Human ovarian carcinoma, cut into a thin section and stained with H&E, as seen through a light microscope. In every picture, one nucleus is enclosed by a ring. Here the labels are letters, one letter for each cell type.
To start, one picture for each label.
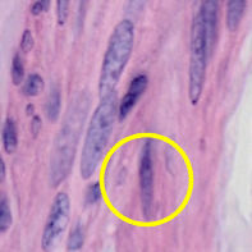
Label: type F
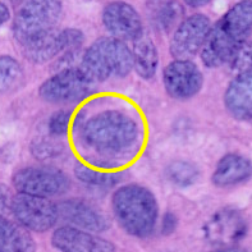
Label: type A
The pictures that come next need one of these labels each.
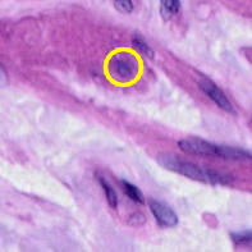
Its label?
type F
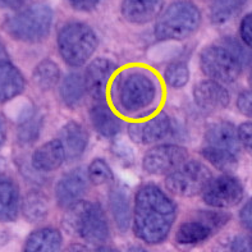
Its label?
type A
